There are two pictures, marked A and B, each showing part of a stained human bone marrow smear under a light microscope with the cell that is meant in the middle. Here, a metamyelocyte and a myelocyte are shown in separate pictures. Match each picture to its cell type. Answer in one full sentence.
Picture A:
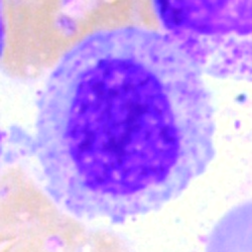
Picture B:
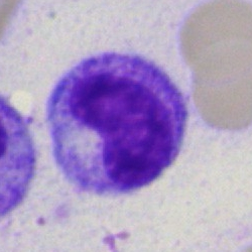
In picture A the cell is a myelocyte; in picture B, a metamyelocyte.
